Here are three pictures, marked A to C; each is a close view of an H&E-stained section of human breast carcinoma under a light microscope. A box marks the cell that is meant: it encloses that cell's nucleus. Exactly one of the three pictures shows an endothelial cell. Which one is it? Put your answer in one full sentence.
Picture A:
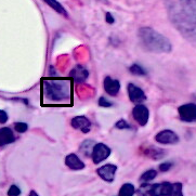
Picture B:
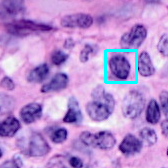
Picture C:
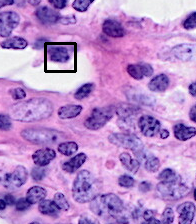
Picture A is the one that shows the endothelial cell.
